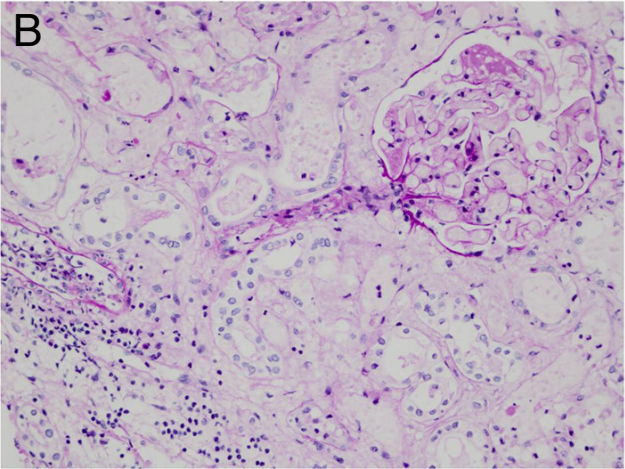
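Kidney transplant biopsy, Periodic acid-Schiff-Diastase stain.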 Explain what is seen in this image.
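Renal cortex with a glomerulus, tubules and a small vessel. The glomerulus at upper right shows open capillary loops outlined by magenta basement membranes within a thin Bowman's capsule. The surrounding tubules have pale, swollen and vacuolated epithelium with rounded nuclei, some lining wide lumens. At lower left a vessel is surrounded and infiltrated by a dense crowd of small dark nuclei of inflammatory cells. The interstitium between tubules is loose and pale.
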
